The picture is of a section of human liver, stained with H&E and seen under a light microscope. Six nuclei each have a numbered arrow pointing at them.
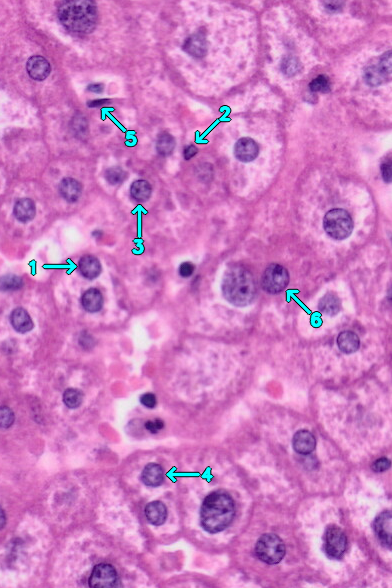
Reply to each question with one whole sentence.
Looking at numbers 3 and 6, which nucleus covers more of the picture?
Nucleus 6 covers more area, about 1.5 times as much as nucleus 3.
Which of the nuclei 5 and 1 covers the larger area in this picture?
The larger nucleus is 1, at roughly 2.5 times the area of 5.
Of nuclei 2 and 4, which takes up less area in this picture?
Number 2 is smaller, since number 4 takes up about 2.5 times as much area.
